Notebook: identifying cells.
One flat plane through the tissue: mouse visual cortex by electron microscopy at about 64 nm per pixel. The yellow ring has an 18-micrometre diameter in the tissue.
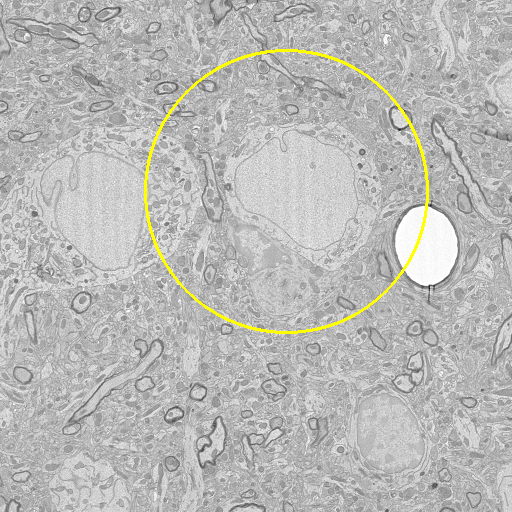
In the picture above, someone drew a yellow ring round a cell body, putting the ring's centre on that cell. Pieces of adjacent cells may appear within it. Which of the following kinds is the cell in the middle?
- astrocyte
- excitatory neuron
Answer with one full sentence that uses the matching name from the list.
In this picture, the yellow ring is centred on the body of an excitatory neuron.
